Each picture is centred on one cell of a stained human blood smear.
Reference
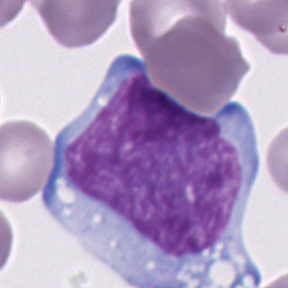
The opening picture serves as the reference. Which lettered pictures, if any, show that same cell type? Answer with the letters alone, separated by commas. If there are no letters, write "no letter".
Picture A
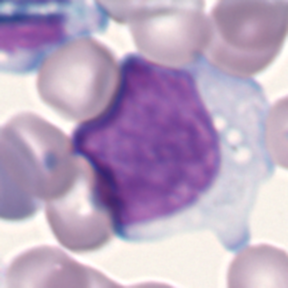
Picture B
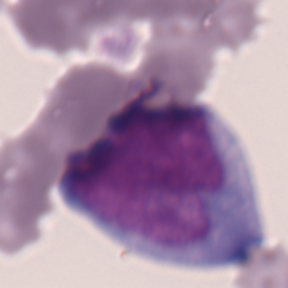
A, B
